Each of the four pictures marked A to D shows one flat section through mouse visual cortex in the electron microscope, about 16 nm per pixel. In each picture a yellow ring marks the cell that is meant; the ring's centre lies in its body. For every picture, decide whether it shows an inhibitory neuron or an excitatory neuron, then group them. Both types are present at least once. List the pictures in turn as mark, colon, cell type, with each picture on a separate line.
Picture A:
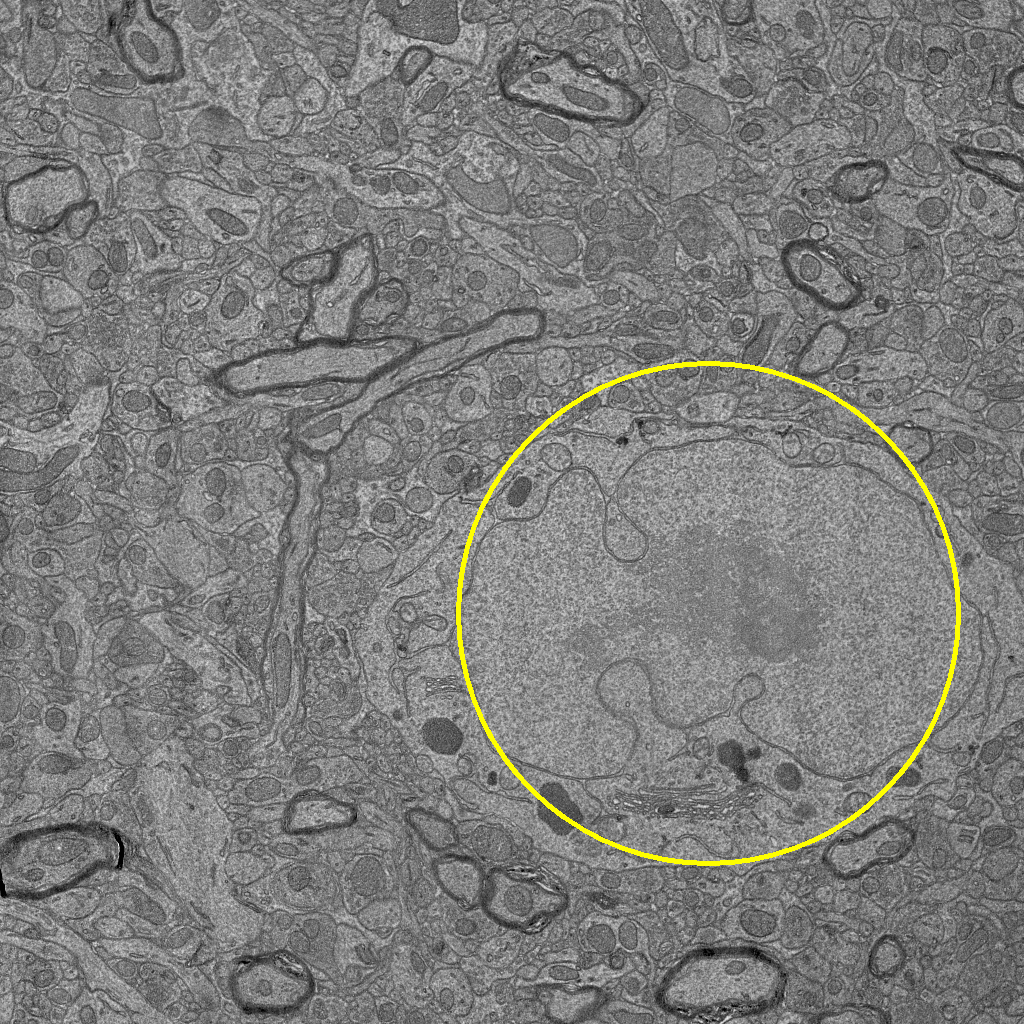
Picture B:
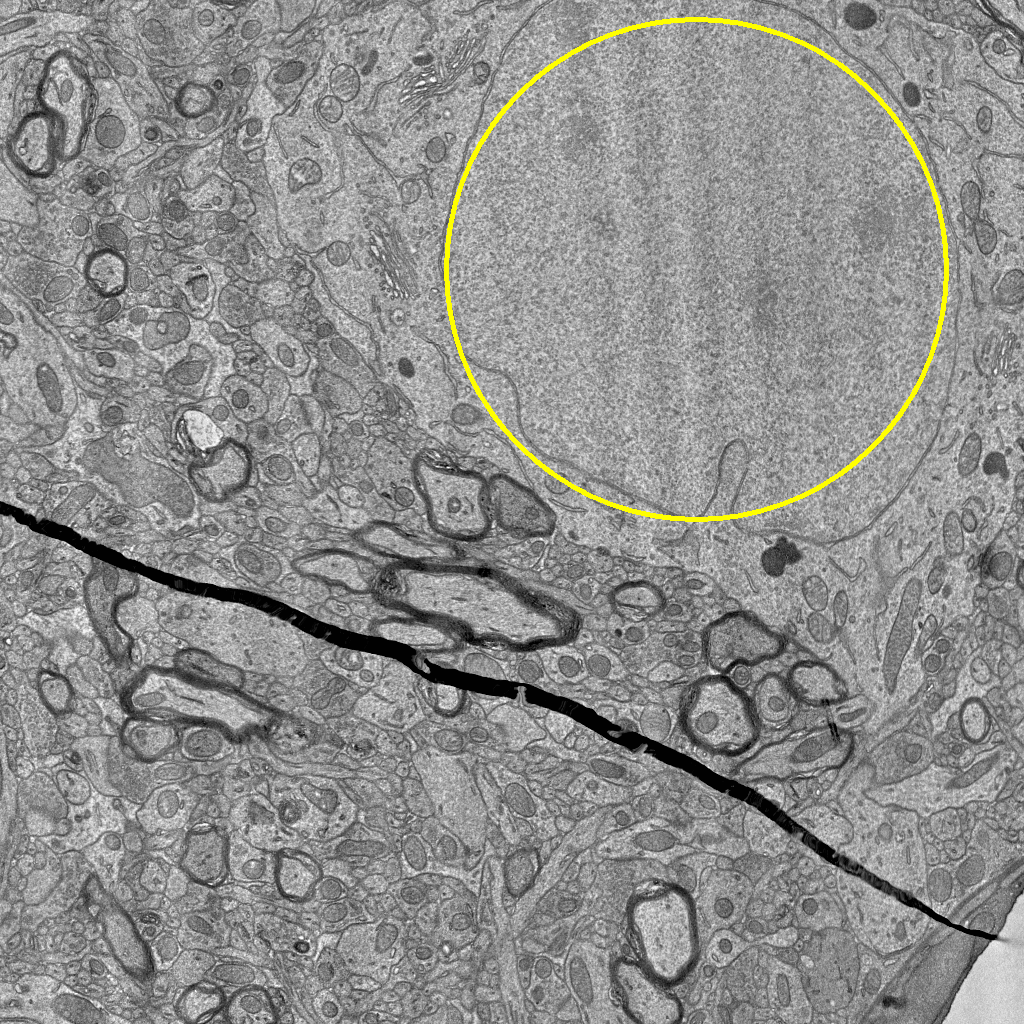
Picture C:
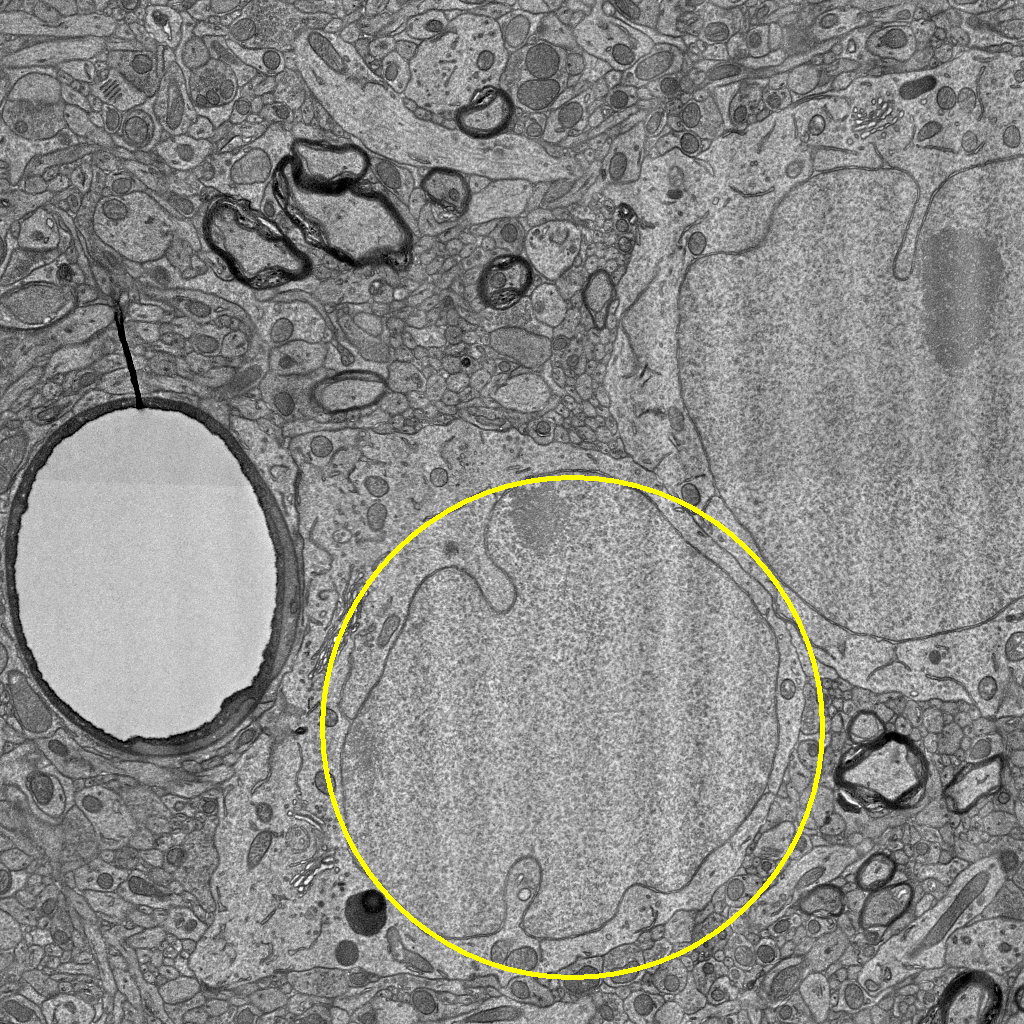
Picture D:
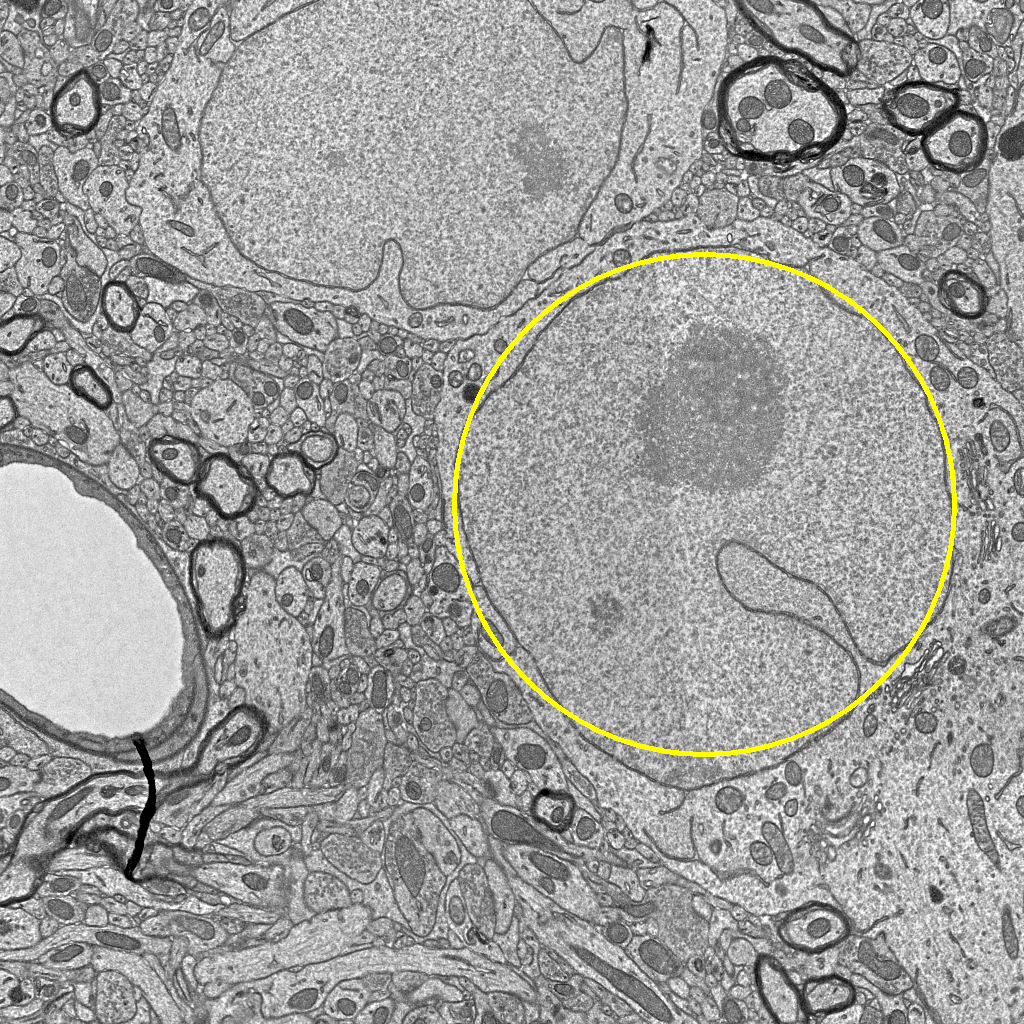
A: inhibitory neuron
B: excitatory neuron
C: excitatory neuron
D: excitatory neuron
